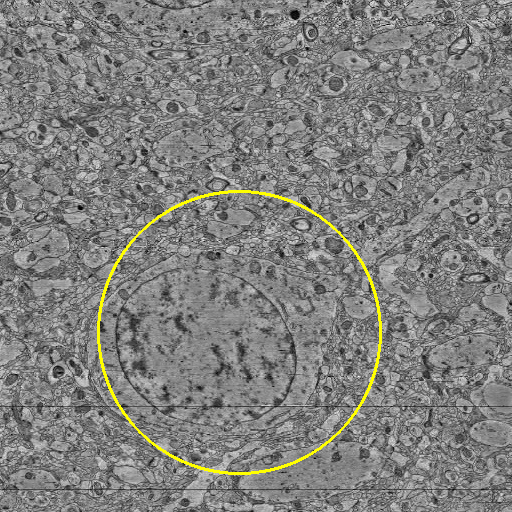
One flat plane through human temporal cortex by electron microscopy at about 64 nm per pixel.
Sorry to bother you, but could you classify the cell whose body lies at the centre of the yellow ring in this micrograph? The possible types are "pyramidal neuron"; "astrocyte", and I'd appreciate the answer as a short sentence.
The ringed cell body is that of a pyramidal neuron.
